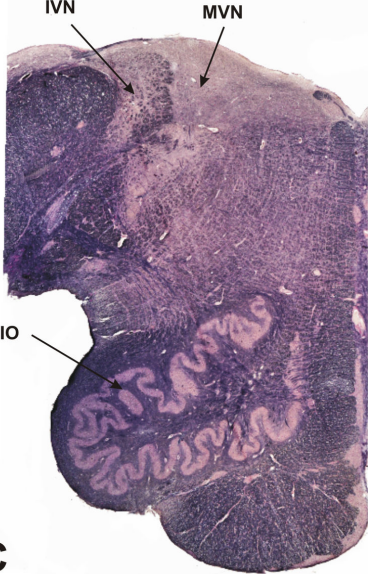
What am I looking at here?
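Half transverse section of the medulla oblongata with pale grey-matter nuclei among dark blue myelinated fibres. A wide, folded, ribbon-like band of pale pink grey matter occupies the ventral half within a dark blue fibre capsule. Dorsally, the region beneath the floor of the section is pale, with a patch of small scattered dark fibre bundles laterally. A large dark blue fibre mass forms the dorsolateral edge. Small blood vessels appear as clear slits and holes throughout.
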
